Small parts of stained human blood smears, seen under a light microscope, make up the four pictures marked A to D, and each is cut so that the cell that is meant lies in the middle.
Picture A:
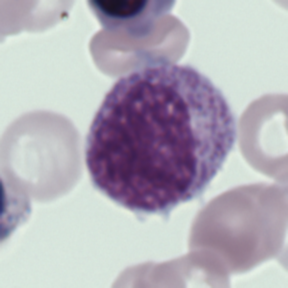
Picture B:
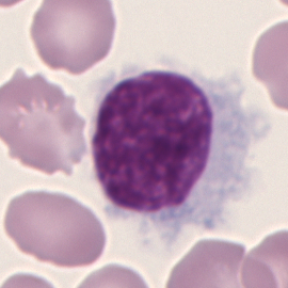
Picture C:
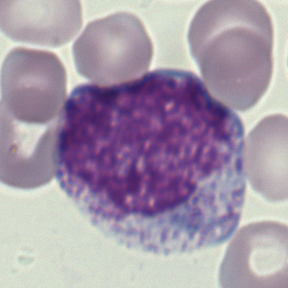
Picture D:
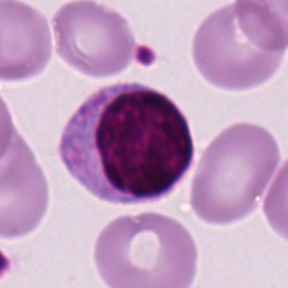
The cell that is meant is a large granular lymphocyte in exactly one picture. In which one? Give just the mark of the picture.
D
